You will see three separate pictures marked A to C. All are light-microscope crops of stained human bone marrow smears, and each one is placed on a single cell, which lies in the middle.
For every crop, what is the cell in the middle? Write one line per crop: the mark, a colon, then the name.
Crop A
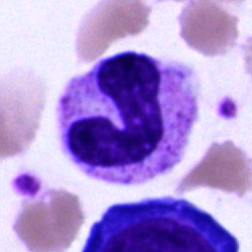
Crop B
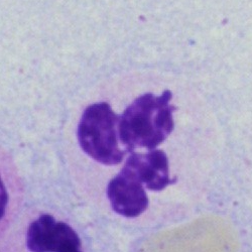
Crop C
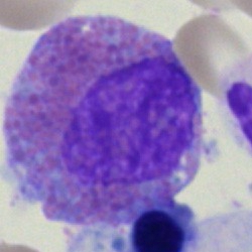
A: band neutrophil
B: segmented neutrophil
C: eosinophil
